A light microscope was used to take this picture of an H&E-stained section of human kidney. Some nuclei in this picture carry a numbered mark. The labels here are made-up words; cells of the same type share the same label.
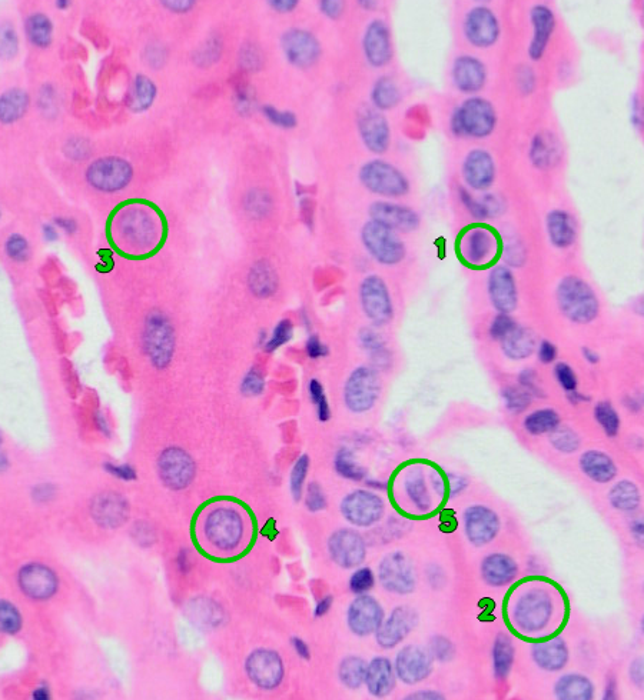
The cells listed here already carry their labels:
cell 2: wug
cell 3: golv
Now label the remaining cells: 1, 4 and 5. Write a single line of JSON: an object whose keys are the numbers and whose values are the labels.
{"1": "wug", "4": "golv", "5": "wug"}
